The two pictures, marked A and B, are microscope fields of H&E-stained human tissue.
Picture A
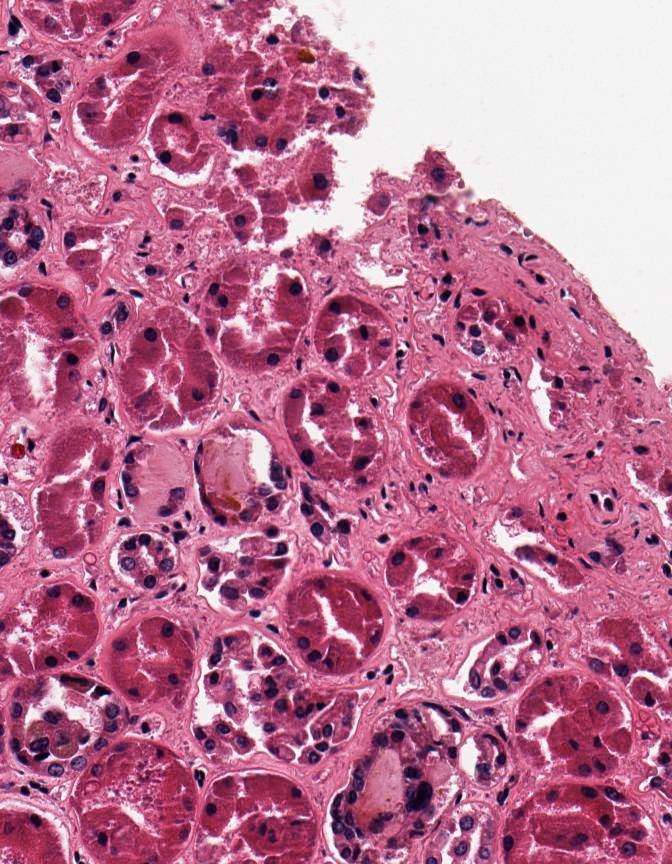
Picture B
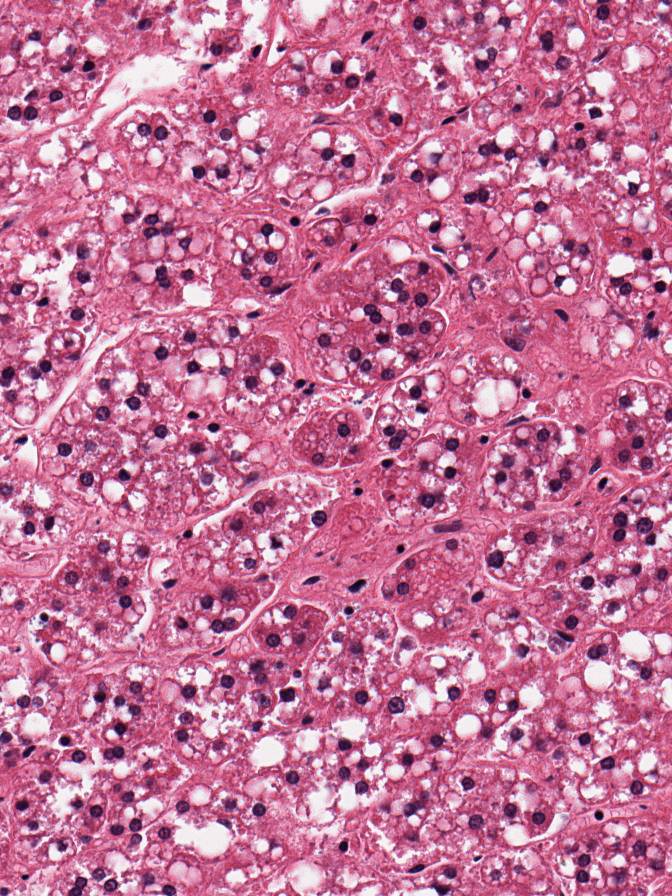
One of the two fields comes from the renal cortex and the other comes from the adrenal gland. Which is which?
A: renal cortex
B: adrenal gland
